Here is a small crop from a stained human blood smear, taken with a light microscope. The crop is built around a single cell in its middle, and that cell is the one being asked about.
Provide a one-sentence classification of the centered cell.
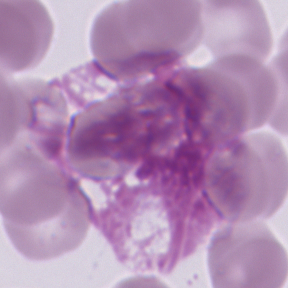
For this crop, the central cell is a smudge cell.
